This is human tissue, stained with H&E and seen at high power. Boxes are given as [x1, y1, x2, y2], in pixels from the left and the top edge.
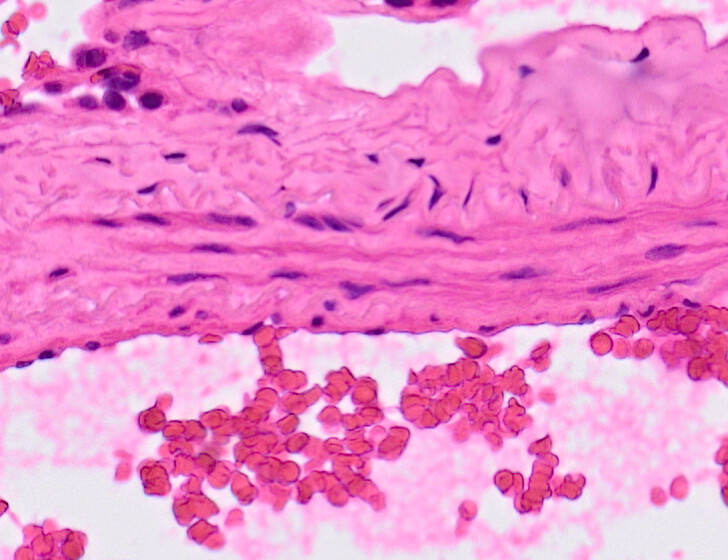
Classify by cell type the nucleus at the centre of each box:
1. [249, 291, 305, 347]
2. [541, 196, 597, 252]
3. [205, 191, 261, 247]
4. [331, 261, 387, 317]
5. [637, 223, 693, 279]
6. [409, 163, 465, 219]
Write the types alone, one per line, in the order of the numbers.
endothelial cell
smooth muscle cell or pericyte
smooth muscle cell or pericyte
smooth muscle cell or pericyte
smooth muscle cell or pericyte
fibroblast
